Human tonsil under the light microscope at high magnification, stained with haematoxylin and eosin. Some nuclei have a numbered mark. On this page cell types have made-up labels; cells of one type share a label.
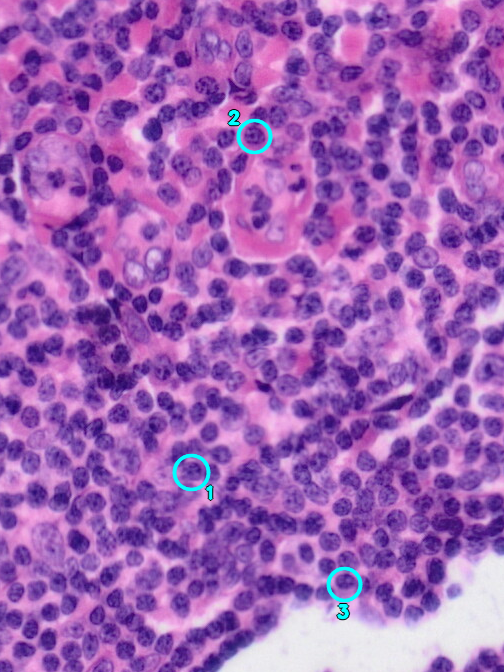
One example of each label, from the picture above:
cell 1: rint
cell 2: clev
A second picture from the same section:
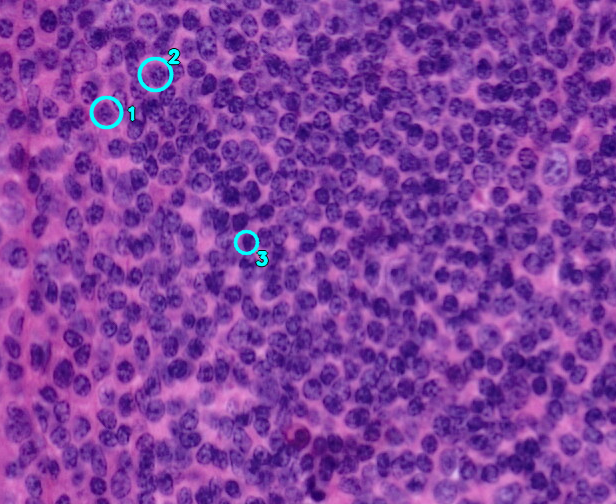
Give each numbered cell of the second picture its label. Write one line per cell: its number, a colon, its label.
1: clev
2: rint
3: rint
